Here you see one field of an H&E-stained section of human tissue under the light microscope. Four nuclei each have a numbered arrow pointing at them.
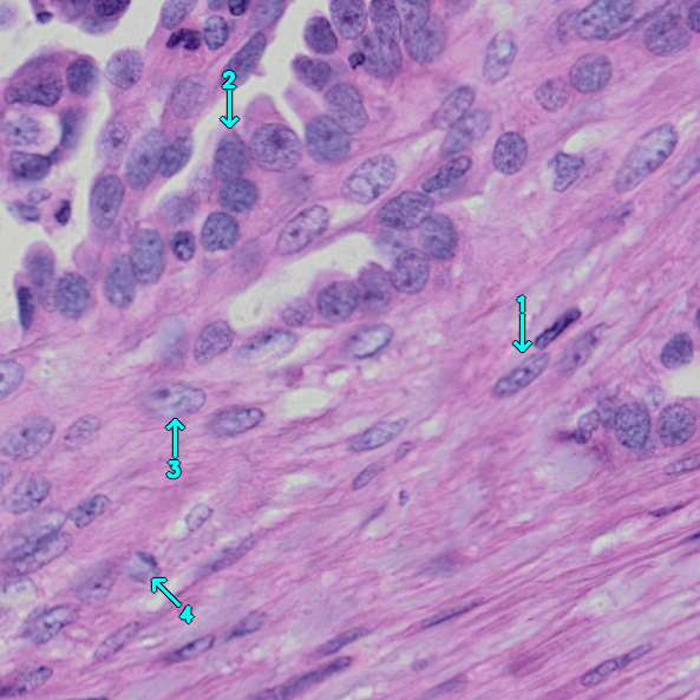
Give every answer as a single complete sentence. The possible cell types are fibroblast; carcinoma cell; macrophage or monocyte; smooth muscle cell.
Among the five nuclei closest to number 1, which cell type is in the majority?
Macrophages or monocytes make up most of the five nuclei closest to number 1.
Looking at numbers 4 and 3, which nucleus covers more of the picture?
Nucleus 3 is the larger one, covering about 2 times the area of nucleus 4.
